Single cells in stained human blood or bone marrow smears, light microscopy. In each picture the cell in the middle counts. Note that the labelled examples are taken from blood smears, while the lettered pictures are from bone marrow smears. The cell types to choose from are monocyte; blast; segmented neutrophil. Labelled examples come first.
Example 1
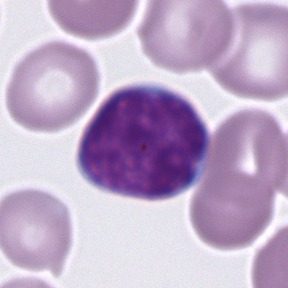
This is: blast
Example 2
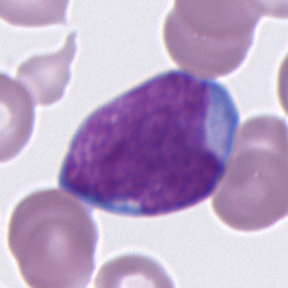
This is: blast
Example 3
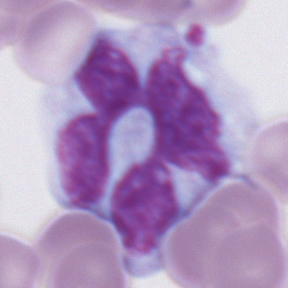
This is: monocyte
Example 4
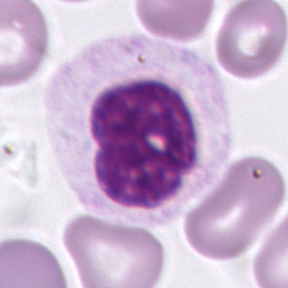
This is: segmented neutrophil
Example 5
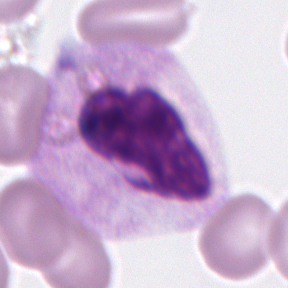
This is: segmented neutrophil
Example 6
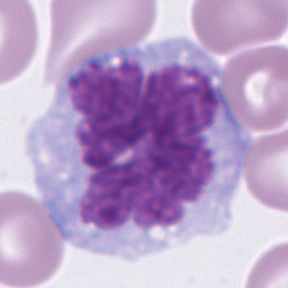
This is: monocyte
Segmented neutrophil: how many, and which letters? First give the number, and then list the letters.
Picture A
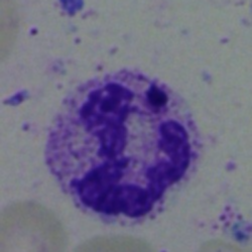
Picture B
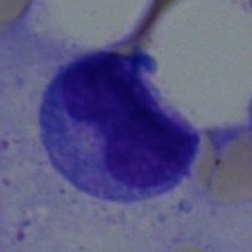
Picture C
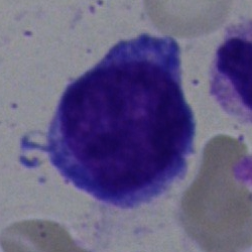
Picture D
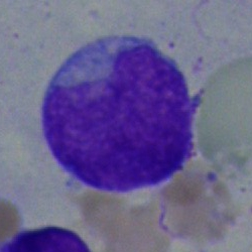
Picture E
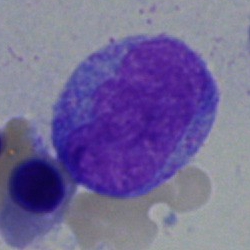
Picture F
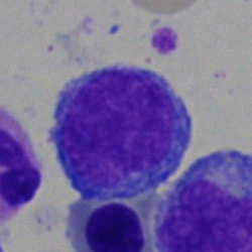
1, namely A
